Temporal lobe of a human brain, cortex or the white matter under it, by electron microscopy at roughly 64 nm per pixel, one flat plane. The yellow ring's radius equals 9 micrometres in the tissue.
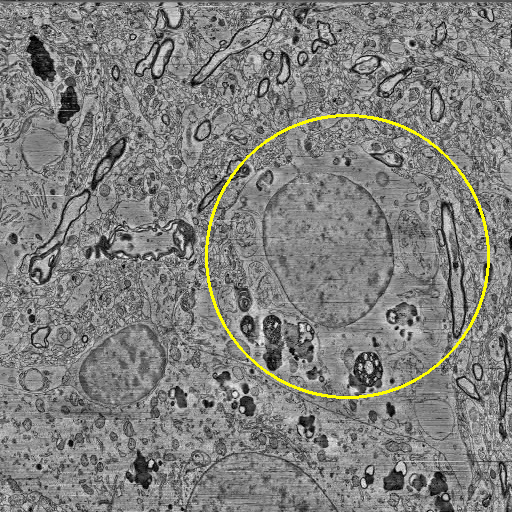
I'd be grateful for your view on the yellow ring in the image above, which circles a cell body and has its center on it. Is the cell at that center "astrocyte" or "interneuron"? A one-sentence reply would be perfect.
The cell at the center of the yellow ring is an astrocyte.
